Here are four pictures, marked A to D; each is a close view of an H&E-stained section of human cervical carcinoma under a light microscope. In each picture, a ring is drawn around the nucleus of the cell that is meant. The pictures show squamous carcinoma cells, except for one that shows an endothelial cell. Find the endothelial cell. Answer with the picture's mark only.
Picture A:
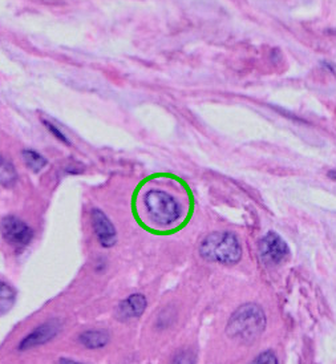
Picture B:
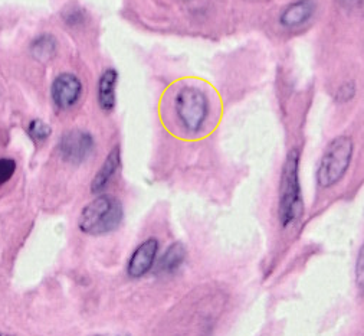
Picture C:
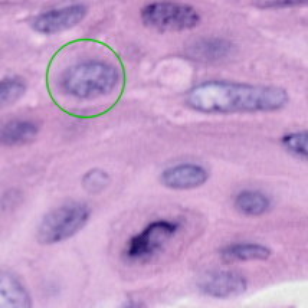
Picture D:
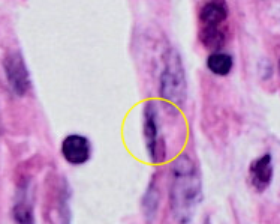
D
